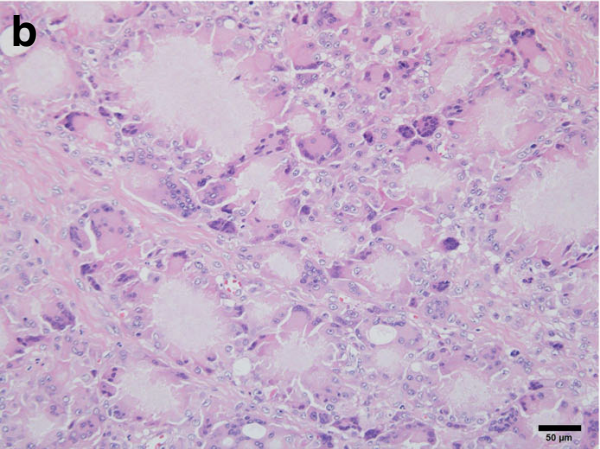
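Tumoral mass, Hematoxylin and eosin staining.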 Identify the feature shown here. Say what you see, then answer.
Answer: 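Many small rounded foci with pale bluish-pink fibrillary centres. Each focus is rimmed by cells with pink cytoplasm. On this evidence: tiny granulomas.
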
